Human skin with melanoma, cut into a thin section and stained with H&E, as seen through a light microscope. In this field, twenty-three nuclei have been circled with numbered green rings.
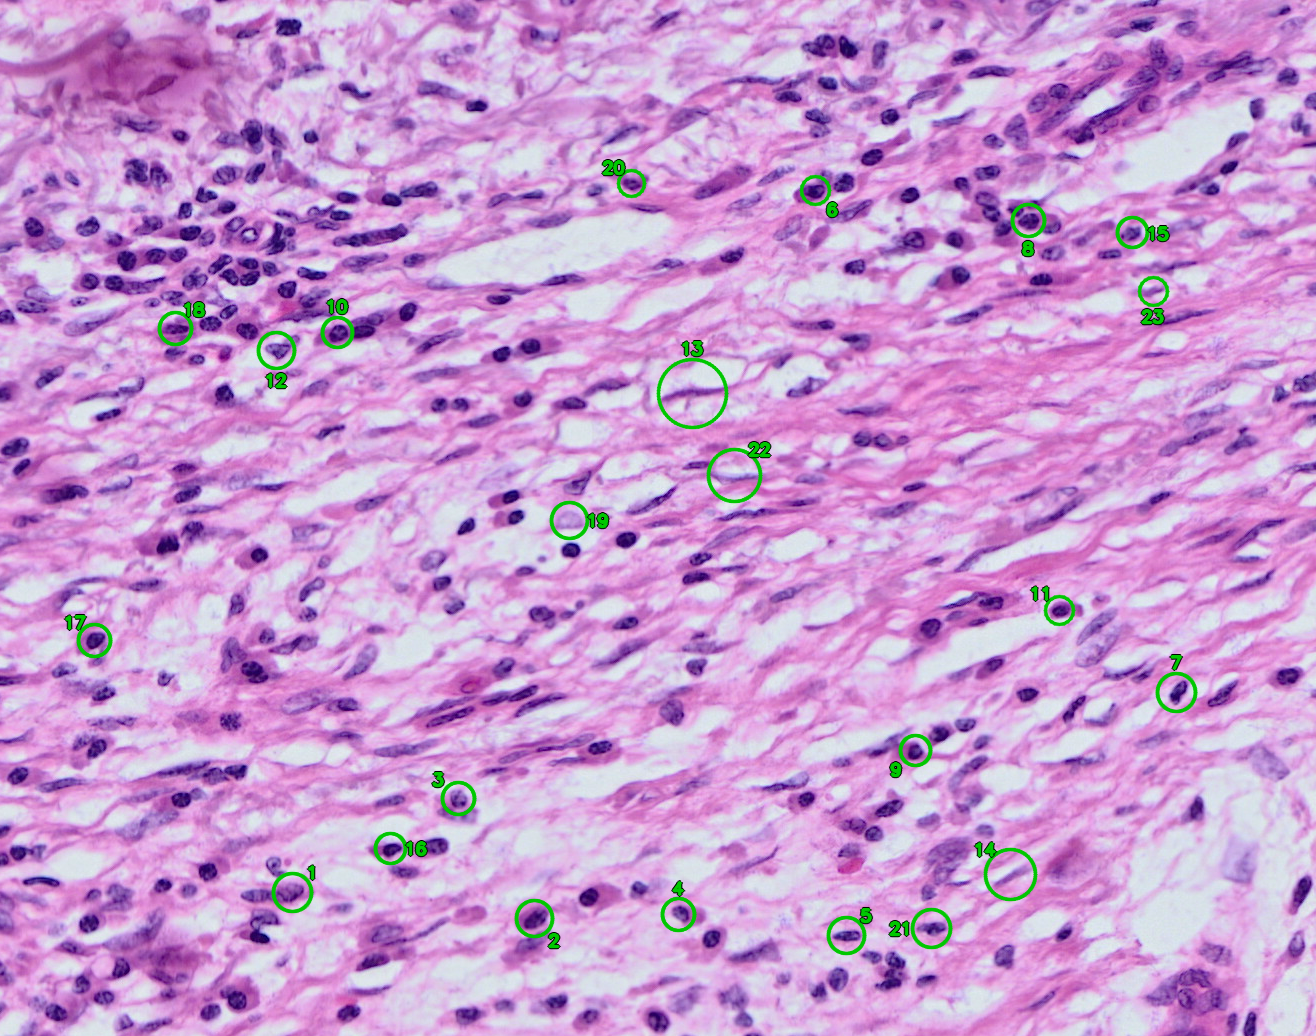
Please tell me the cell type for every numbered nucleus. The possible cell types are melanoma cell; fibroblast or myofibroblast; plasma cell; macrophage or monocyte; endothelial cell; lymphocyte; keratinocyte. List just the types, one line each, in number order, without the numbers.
macrophage or monocyte
plasma cell
plasma cell
plasma cell
lymphocyte
plasma cell
lymphocyte
plasma cell
plasma cell
plasma cell
plasma cell
lymphocyte
fibroblast or myofibroblast
fibroblast or myofibroblast
lymphocyte
plasma cell
plasma cell
plasma cell
fibroblast or myofibroblast
plasma cell
lymphocyte
fibroblast or myofibroblast
fibroblast or myofibroblast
